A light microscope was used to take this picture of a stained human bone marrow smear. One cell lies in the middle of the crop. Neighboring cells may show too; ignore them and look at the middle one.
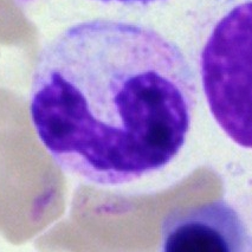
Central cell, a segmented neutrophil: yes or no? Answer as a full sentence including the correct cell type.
No, the central cell is classed as a band neutrophil and not as a segmented neutrophil.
